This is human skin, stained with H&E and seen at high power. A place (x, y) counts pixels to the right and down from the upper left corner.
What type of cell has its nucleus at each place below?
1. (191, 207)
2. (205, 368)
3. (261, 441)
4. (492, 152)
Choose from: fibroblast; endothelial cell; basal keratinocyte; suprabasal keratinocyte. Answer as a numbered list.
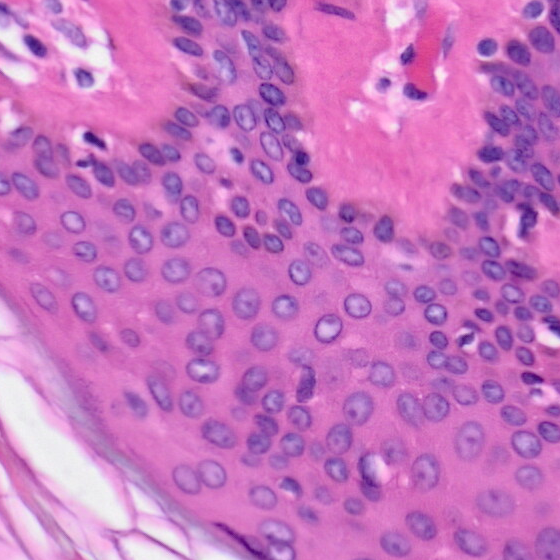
1. suprabasal keratinocyte
2. suprabasal keratinocyte
3. suprabasal keratinocyte
4. basal keratinocyte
